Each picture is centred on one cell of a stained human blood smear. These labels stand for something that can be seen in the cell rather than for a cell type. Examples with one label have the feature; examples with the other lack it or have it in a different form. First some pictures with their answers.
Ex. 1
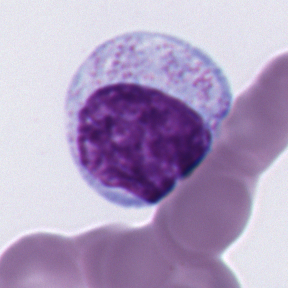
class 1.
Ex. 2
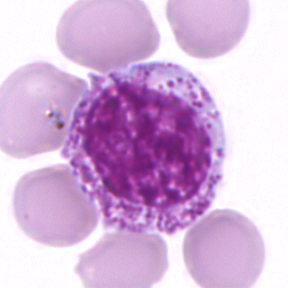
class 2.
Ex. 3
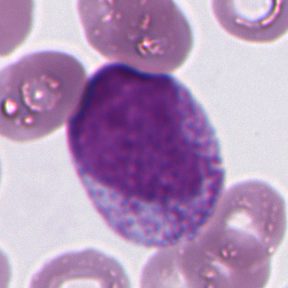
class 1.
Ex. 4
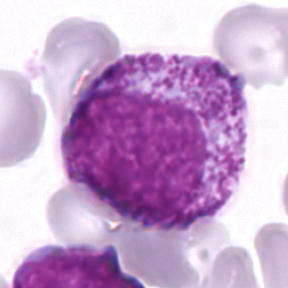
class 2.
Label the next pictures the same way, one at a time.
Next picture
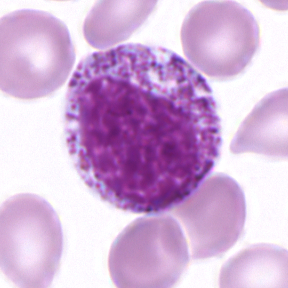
class 2.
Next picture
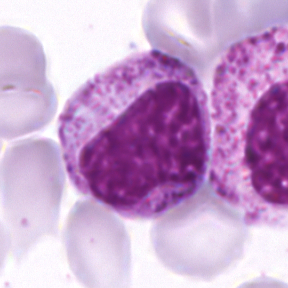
class 1.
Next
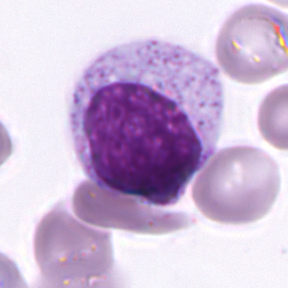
class 1.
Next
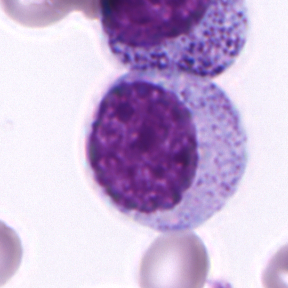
class 1.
